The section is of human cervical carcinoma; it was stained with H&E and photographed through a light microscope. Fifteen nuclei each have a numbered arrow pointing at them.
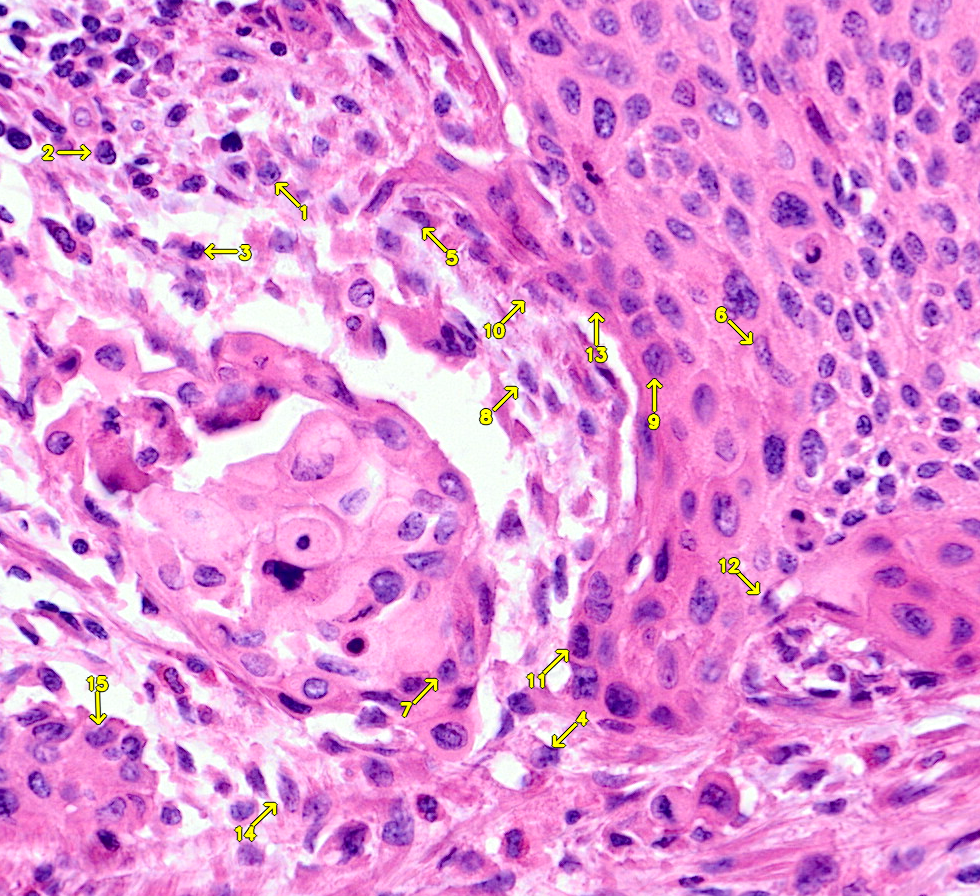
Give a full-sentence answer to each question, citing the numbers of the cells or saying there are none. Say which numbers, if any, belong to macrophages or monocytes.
Here, the cells that carry numbers 1 and 4 are macrophages or monocytes.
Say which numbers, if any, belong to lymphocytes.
The cells shown with numbers 2 and 3 are lymphocytes.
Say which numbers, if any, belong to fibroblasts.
The cells the numbers 5, 8, 10 and 14 point to are fibroblasts.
